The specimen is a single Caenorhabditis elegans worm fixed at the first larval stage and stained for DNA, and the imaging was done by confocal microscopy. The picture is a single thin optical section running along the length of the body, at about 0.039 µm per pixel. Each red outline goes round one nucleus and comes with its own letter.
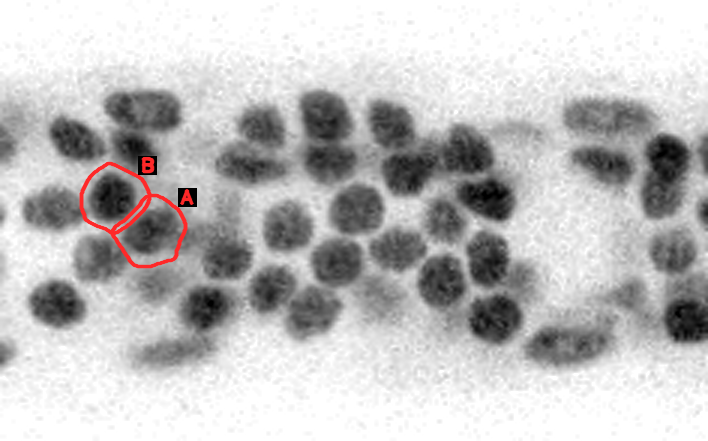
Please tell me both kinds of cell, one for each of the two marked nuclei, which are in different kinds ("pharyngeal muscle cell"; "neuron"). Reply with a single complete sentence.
Nucleus A comes from a pharyngeal muscle cell and nucleus B from a neuron.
